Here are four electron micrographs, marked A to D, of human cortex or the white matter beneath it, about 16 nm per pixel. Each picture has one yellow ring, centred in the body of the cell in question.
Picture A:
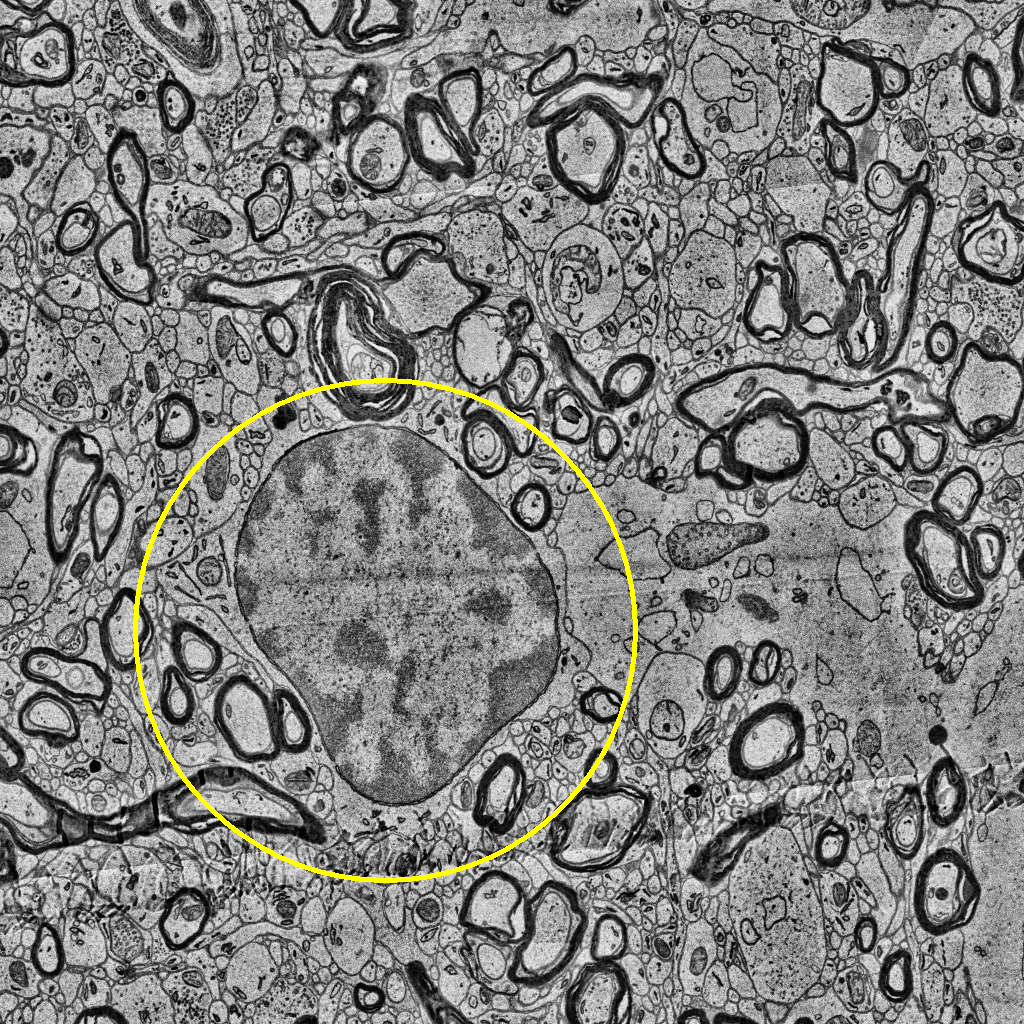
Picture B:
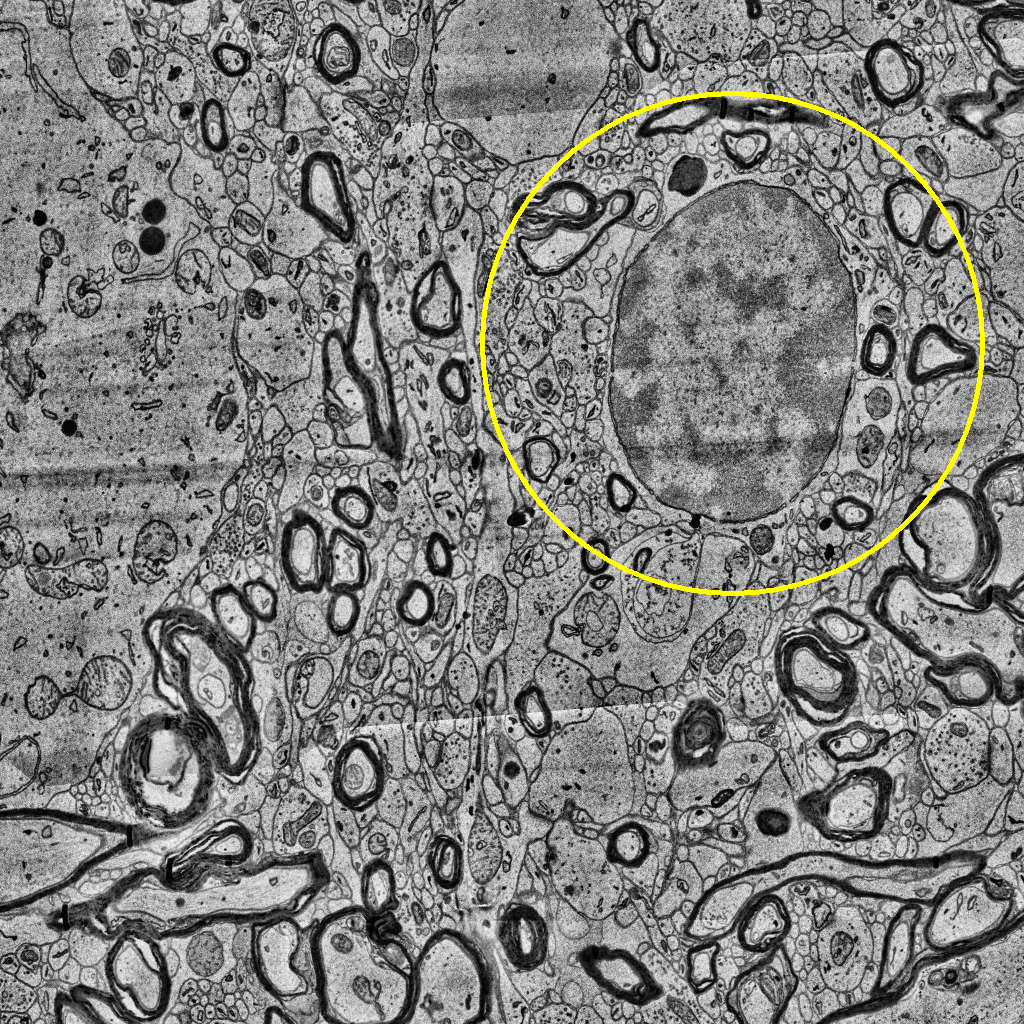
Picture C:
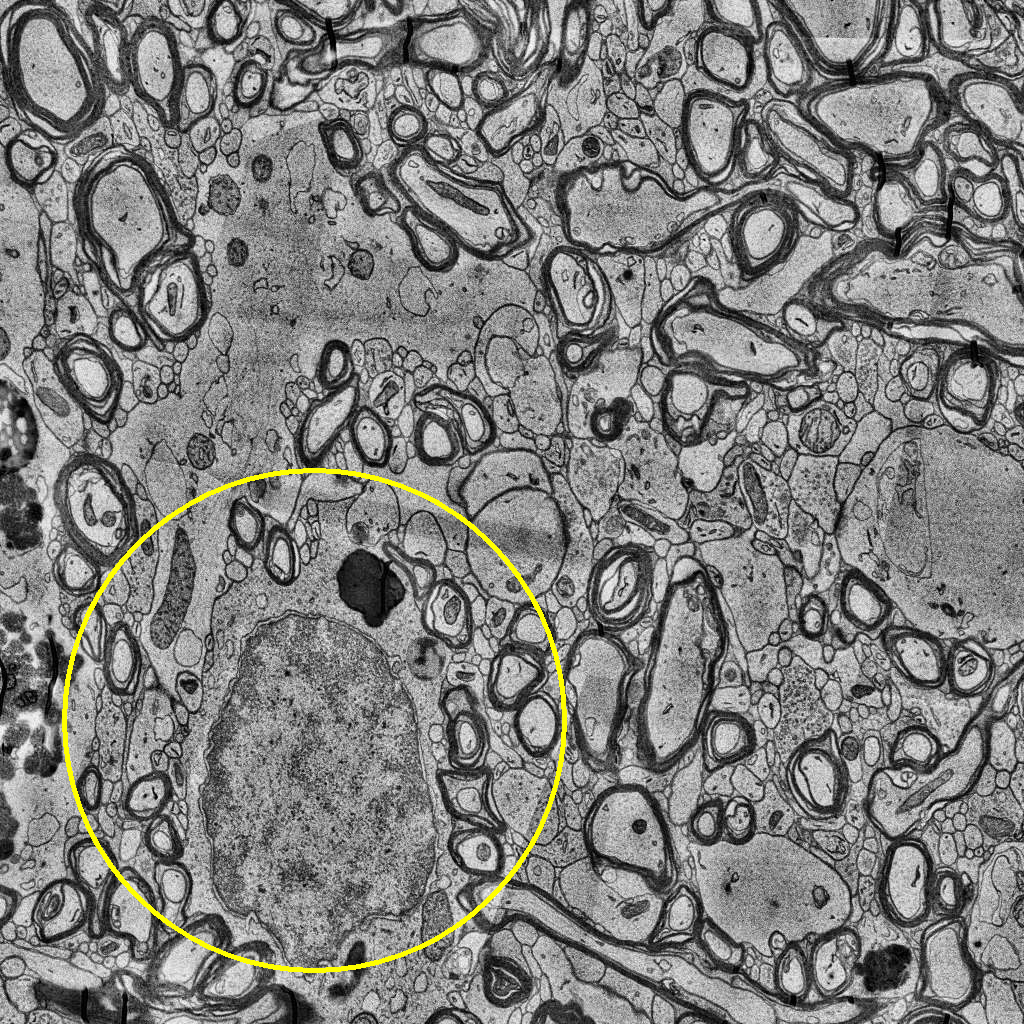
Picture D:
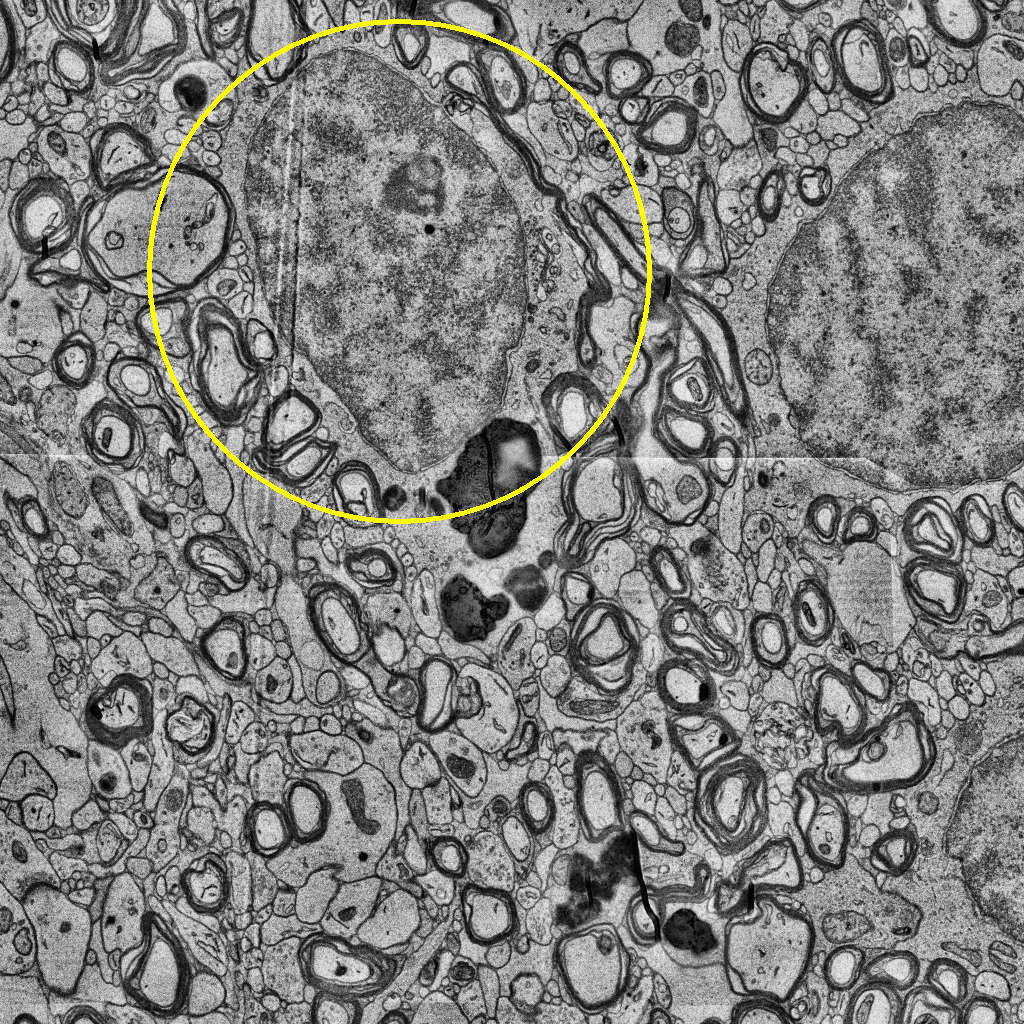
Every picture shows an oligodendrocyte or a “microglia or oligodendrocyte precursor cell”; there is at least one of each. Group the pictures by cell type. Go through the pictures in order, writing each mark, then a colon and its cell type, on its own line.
A: microglia or oligodendrocyte precursor cell
B: microglia or oligodendrocyte precursor cell
C: oligodendrocyte
D: oligodendrocyte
